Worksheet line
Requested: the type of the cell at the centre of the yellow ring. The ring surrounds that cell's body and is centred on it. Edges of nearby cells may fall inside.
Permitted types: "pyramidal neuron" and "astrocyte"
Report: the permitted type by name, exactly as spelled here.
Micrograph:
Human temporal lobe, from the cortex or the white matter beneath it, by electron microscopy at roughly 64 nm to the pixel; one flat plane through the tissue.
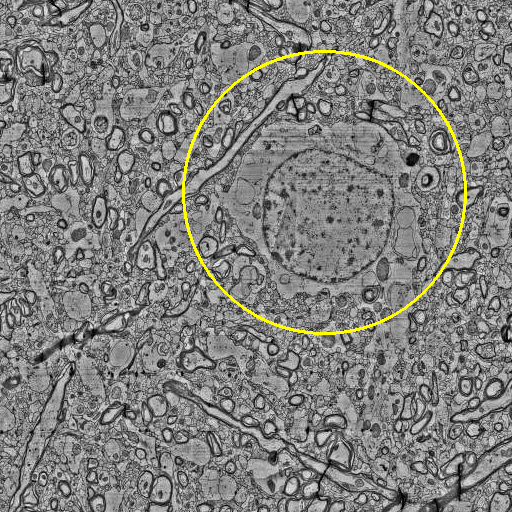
astrocyte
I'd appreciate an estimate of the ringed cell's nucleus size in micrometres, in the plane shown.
The nucleus comes to roughly 9 micrometres across in this plane.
